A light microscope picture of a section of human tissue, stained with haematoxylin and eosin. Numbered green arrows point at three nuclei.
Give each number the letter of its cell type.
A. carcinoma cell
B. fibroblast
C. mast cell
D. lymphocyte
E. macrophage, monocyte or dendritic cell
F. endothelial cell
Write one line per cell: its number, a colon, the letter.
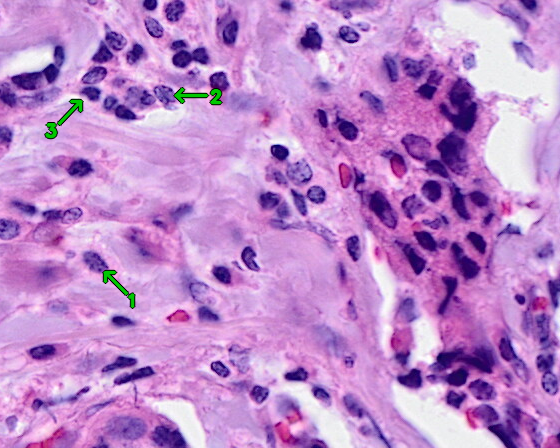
1: C
2: D
3: D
